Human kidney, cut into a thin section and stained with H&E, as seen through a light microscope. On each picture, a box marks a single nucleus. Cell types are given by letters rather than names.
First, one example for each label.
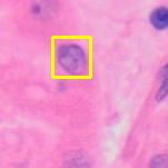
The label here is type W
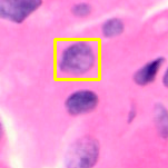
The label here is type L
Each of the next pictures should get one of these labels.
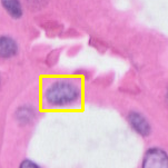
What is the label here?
type L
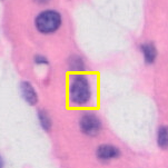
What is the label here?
type L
